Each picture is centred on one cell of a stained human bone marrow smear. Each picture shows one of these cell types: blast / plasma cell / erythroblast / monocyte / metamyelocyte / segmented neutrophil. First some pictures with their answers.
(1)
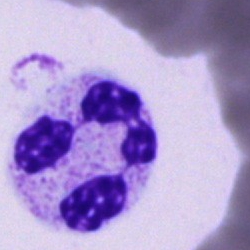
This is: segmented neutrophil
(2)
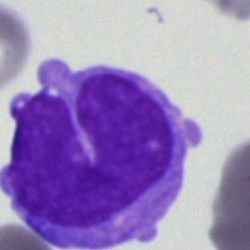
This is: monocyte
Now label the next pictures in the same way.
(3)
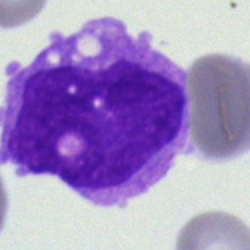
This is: monocyte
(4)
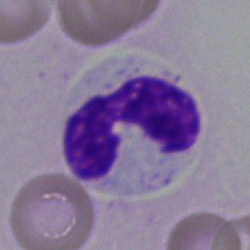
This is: segmented neutrophil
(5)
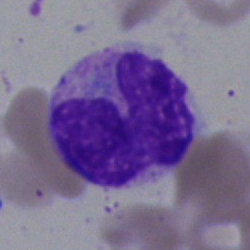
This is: monocyte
